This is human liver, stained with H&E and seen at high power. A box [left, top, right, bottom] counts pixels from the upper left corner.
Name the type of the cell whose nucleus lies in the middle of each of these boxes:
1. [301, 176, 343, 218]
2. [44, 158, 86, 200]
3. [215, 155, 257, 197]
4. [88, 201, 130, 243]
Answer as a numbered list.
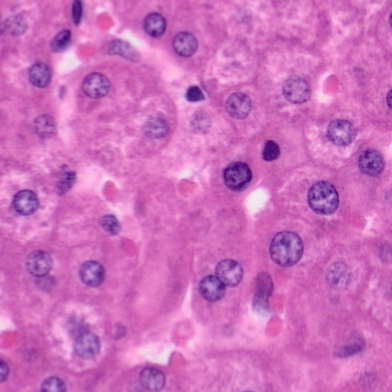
1. hepatocyte
2. endothelial cell
3. hepatocyte
4. endothelial cell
